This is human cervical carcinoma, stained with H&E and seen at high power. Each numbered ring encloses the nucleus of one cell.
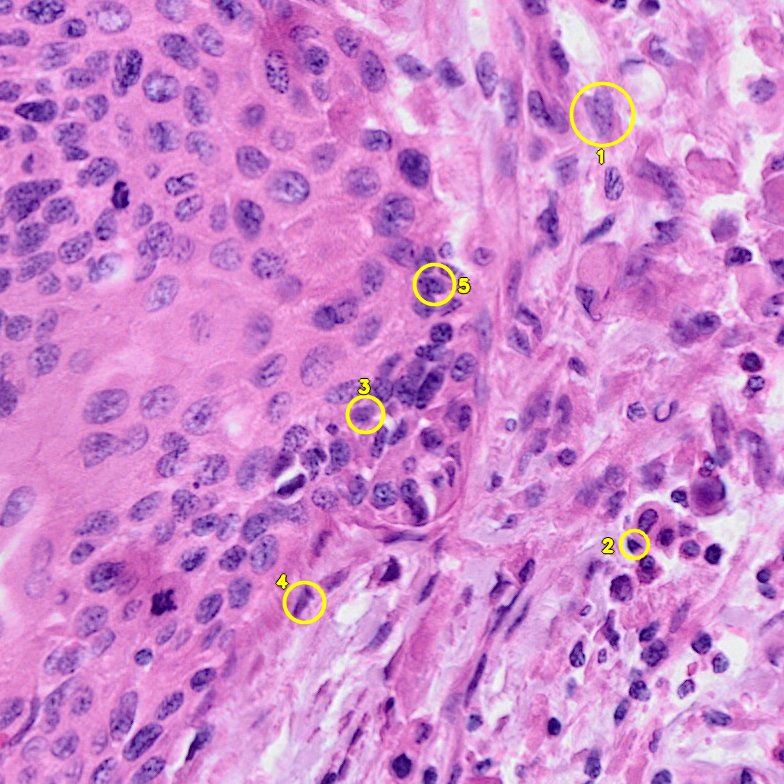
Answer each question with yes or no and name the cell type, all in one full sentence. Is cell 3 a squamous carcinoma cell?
Yes, the cell indicated by number 3 is a squamous carcinoma cell.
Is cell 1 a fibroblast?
Yes, the number 1 belongs to a fibroblast.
